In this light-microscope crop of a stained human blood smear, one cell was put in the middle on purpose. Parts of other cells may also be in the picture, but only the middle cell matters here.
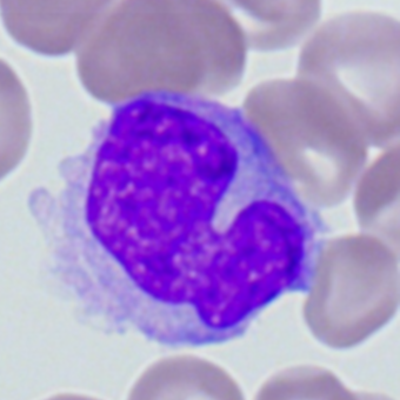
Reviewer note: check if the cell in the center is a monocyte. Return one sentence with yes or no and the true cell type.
Yes, the cell here in the middle is a monocyte.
